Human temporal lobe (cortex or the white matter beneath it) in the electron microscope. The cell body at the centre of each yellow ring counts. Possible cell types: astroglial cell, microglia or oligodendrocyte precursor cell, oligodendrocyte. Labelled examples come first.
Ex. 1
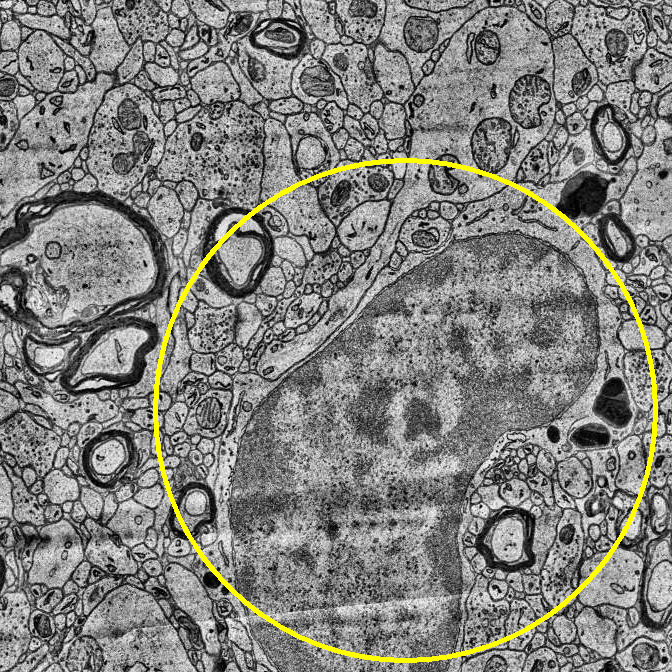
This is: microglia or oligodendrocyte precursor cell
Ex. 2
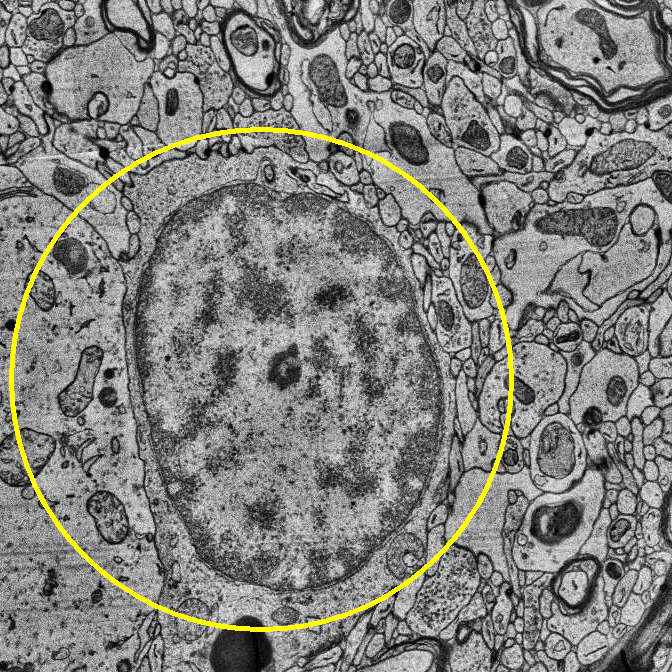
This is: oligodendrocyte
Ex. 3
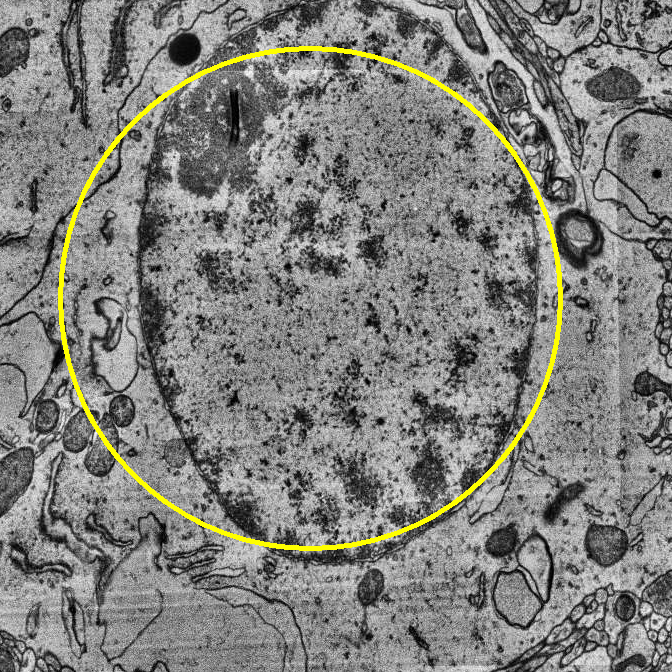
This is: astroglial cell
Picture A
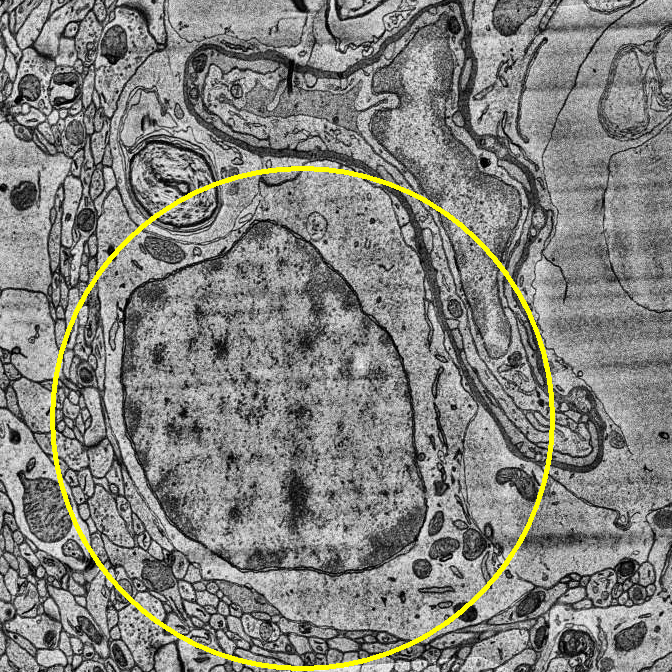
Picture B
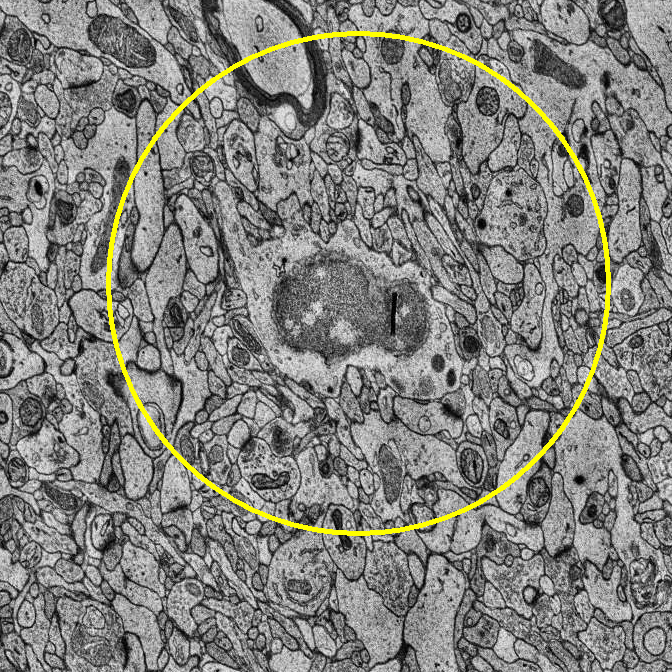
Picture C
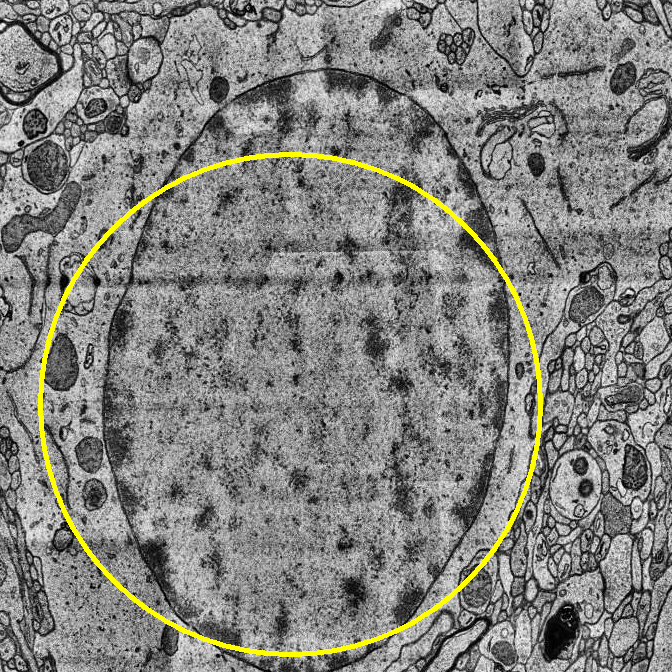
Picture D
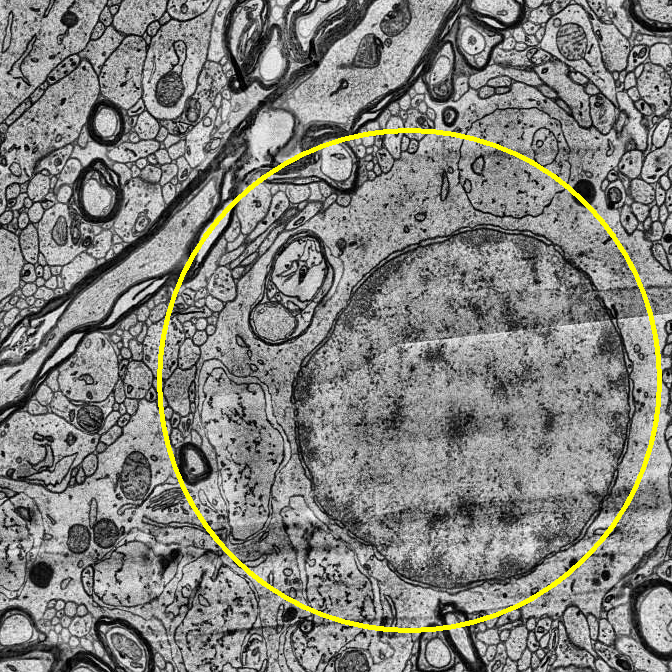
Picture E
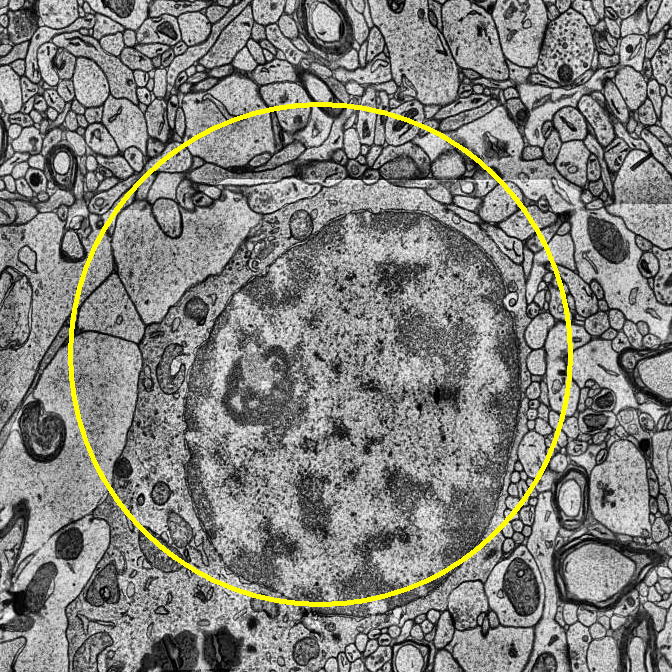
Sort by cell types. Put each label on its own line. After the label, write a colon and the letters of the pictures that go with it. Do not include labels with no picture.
astroglial cell: C, D
microglia or oligodendrocyte precursor cell: A, B
oligodendrocyte: E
